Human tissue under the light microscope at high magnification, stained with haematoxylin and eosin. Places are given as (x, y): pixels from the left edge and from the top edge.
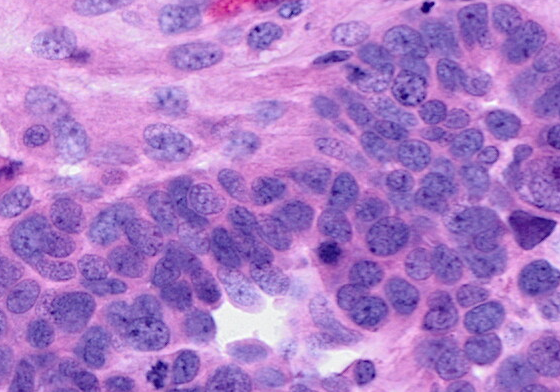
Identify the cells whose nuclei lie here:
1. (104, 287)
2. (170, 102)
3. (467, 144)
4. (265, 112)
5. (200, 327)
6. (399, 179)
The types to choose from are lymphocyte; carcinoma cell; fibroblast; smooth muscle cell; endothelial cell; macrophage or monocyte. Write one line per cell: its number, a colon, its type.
1: carcinoma cell
2: fibroblast
3: carcinoma cell
4: fibroblast
5: carcinoma cell
6: carcinoma cell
